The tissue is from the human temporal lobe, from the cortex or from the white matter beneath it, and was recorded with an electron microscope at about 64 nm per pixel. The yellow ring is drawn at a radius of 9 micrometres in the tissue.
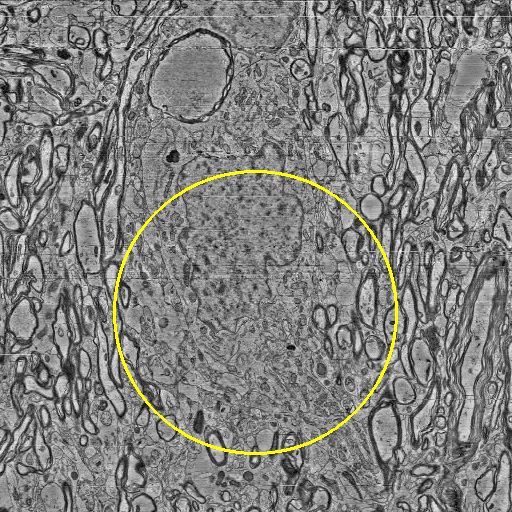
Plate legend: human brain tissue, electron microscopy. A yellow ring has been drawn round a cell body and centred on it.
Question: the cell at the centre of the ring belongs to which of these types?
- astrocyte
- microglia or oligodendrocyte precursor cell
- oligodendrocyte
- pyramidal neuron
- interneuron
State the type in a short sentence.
The cell in the middle of the ring is an interneuron.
